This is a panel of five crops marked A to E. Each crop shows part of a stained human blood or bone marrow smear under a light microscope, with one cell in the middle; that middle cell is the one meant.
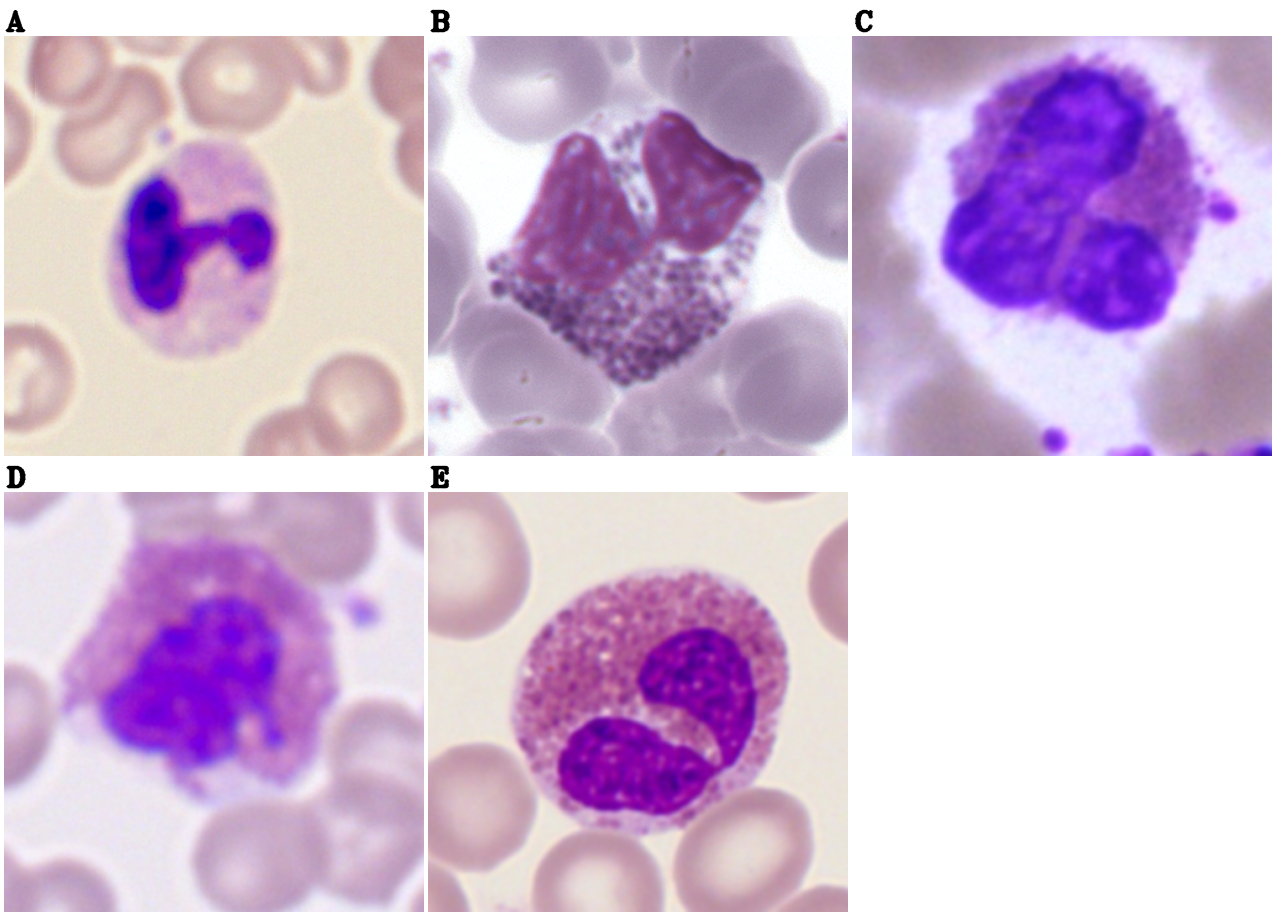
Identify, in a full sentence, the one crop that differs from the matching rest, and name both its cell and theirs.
Apart from crop A, a segmented neutrophil, the crops all show eosinophils.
